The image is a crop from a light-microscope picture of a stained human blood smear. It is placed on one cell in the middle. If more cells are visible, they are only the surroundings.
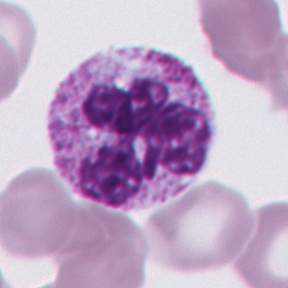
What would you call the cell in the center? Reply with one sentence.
The central cell, amid any neighbouring cells, is a neutrophil.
